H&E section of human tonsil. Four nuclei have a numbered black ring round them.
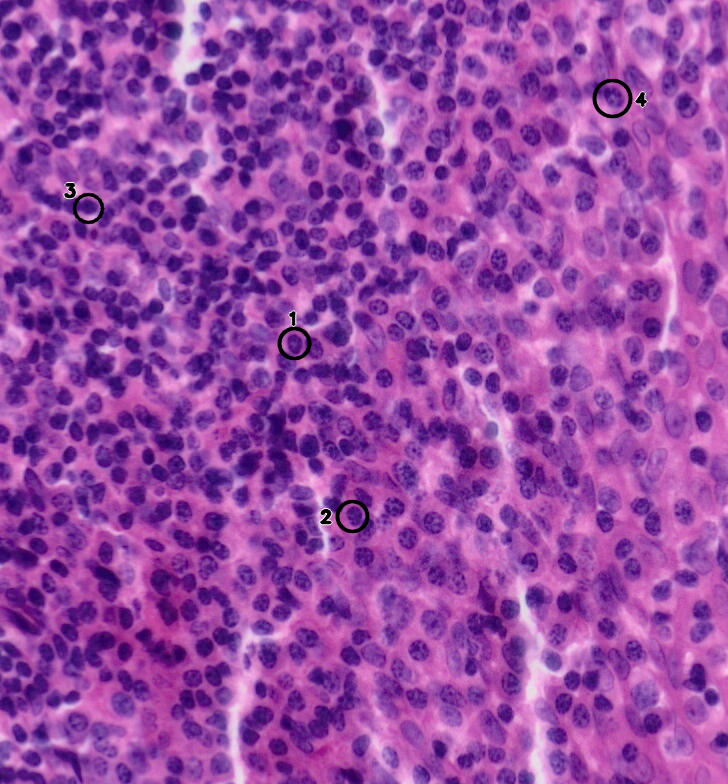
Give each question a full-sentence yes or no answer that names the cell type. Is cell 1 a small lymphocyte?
No, the marked cell 1 is not a small lymphocyte, being instead a plasma cell.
